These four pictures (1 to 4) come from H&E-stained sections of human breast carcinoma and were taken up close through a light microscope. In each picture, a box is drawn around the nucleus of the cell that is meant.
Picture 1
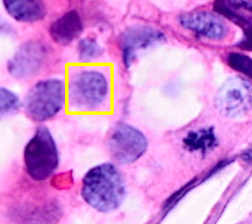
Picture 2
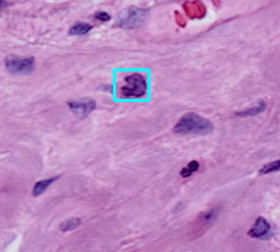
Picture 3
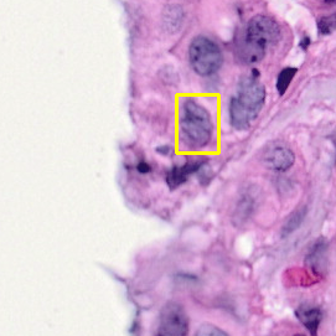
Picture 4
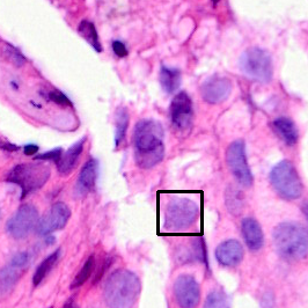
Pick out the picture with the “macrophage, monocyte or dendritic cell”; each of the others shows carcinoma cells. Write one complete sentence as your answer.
The picture with the “macrophage, monocyte or dendritic cell” is 2.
